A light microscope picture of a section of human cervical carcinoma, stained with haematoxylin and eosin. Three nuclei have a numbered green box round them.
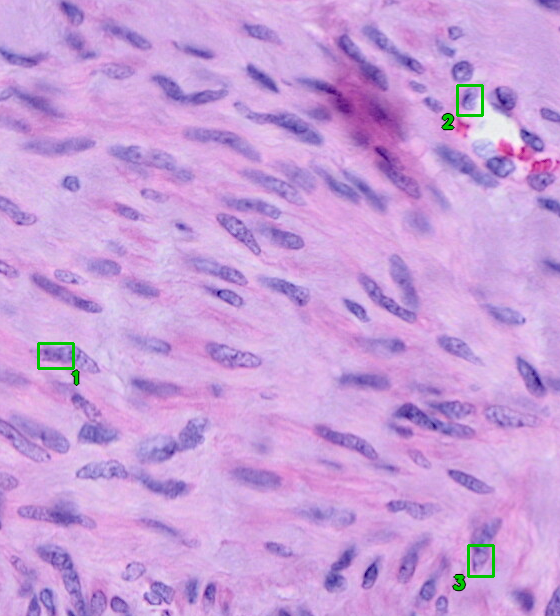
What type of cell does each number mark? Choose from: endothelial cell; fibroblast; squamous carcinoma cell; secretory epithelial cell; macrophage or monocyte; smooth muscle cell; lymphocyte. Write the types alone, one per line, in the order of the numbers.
smooth muscle cell
endothelial cell
smooth muscle cell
